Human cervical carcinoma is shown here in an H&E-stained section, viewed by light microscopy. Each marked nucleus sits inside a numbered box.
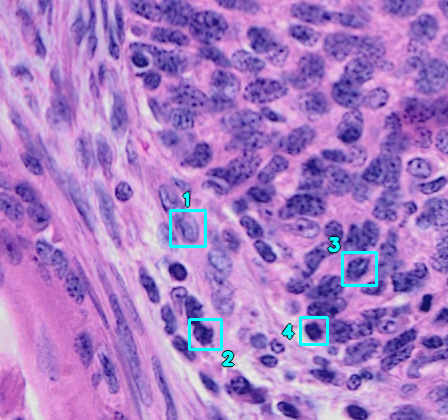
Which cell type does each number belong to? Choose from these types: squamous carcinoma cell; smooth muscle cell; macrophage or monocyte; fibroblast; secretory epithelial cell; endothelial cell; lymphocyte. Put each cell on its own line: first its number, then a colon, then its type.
1: endothelial cell
2: lymphocyte
3: squamous carcinoma cell
4: lymphocyte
